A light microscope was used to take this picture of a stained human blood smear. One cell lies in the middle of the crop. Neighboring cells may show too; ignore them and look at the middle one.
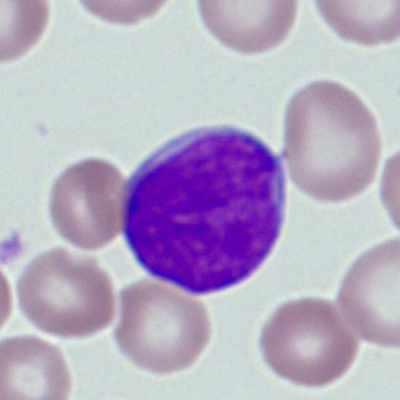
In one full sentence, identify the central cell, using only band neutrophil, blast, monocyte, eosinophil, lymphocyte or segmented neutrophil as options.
The crop shows a blast in its centre.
